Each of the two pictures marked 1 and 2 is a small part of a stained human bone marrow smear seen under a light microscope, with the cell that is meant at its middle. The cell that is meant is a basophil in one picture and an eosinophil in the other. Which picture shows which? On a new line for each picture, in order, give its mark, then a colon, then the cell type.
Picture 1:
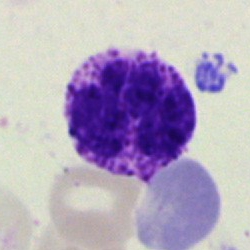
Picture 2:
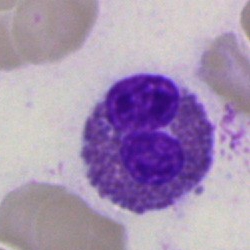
1: basophil
2: eosinophil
